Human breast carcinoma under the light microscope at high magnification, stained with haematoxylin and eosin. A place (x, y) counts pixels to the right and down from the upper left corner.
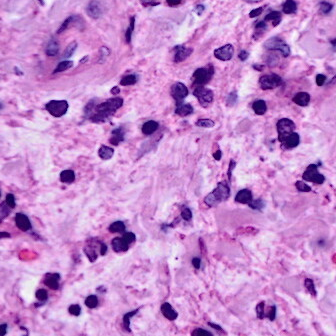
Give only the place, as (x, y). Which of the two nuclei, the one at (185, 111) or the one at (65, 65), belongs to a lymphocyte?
(185, 111)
